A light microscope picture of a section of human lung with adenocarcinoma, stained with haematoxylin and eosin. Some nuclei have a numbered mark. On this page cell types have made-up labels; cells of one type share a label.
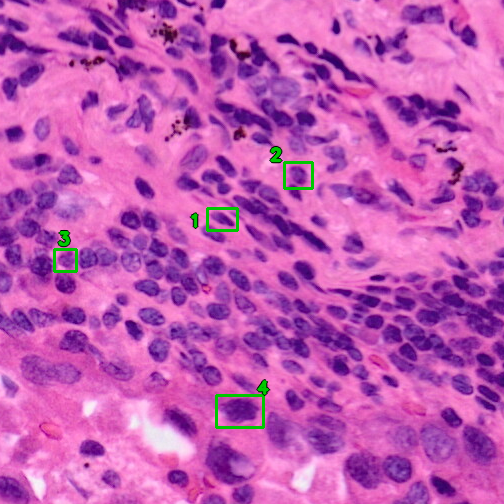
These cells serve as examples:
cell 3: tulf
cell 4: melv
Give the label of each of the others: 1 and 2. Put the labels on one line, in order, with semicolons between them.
tulf; tulf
